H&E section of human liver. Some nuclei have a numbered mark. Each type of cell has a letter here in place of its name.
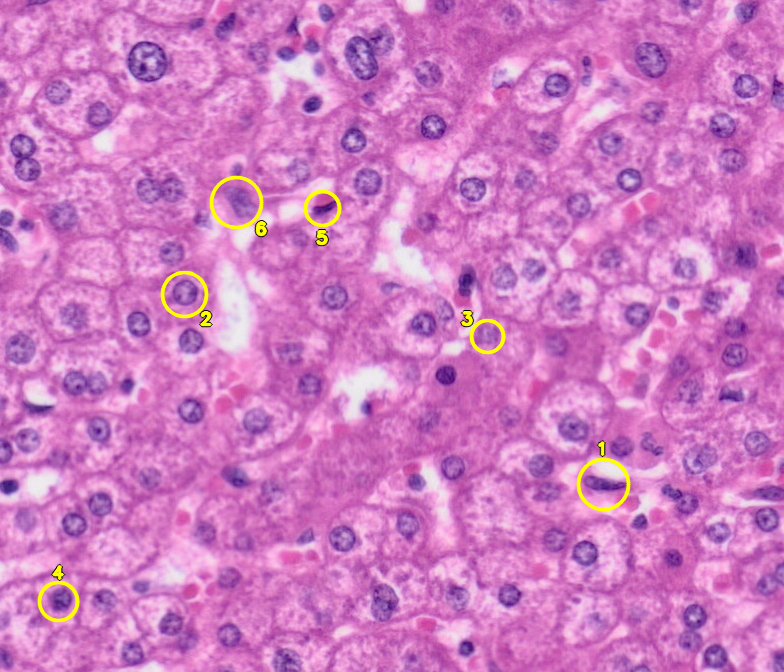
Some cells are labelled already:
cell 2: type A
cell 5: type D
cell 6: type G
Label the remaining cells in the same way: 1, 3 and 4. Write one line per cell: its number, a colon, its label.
1: type G
3: type A
4: type A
